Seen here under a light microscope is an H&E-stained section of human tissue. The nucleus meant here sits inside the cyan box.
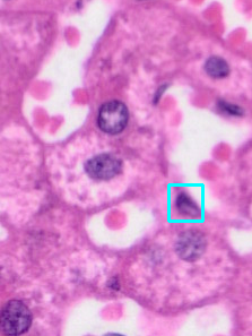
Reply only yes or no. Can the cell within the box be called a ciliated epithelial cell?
no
